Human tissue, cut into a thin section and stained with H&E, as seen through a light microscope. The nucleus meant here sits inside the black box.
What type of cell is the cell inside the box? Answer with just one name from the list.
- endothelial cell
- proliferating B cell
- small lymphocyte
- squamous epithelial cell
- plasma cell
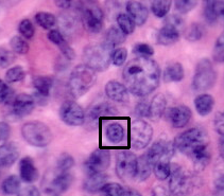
proliferating B cell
